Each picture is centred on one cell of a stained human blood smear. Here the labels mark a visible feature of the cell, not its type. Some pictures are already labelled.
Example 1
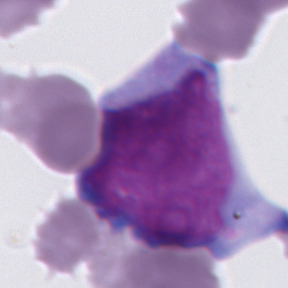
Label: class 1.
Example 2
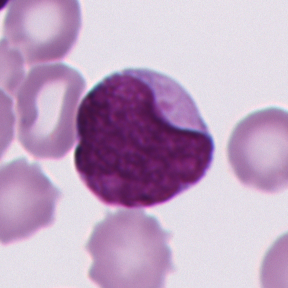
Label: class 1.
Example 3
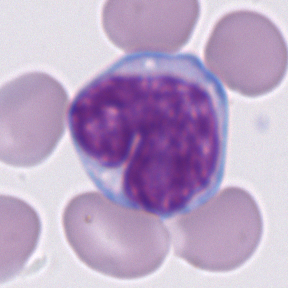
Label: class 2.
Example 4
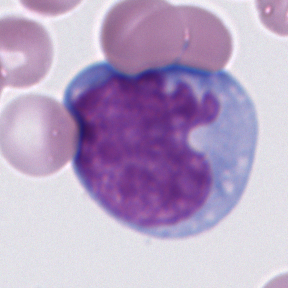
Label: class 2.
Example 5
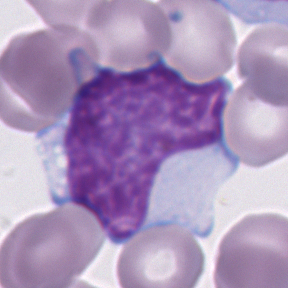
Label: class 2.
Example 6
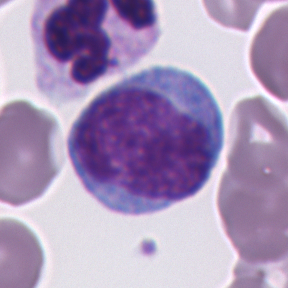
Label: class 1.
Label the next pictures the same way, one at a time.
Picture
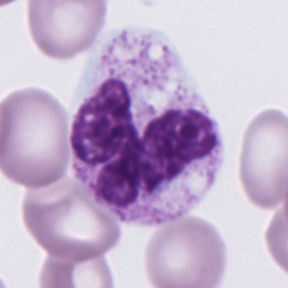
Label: class 2.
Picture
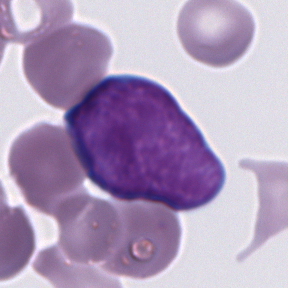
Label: class 1.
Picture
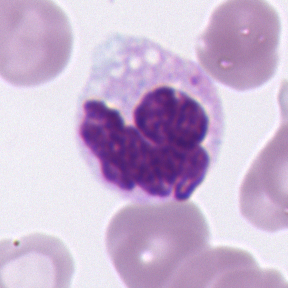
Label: class 2.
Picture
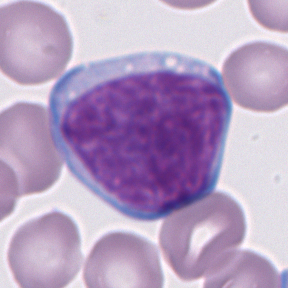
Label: class 2.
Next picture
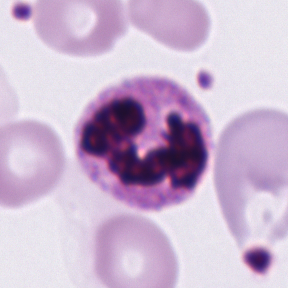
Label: class 1.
